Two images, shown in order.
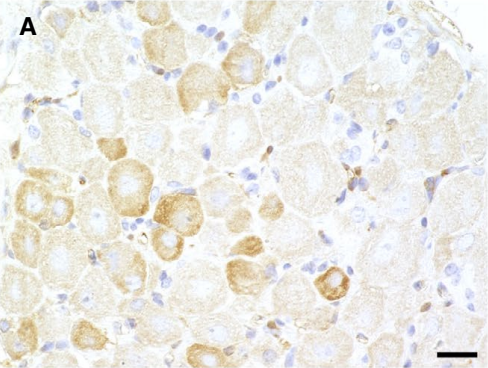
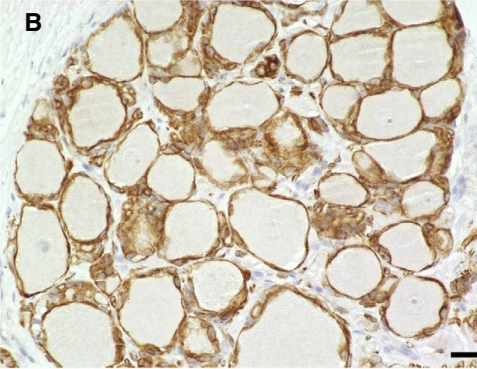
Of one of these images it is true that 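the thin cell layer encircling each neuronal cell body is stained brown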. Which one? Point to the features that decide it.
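Second image: a dark brown rim surrounds nearly every large neuronal cell body. First image: the small cells around the neurons carry blue nuclei without a brown rim; only some neuronal cell bodies are brownish.
Answer: the second image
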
